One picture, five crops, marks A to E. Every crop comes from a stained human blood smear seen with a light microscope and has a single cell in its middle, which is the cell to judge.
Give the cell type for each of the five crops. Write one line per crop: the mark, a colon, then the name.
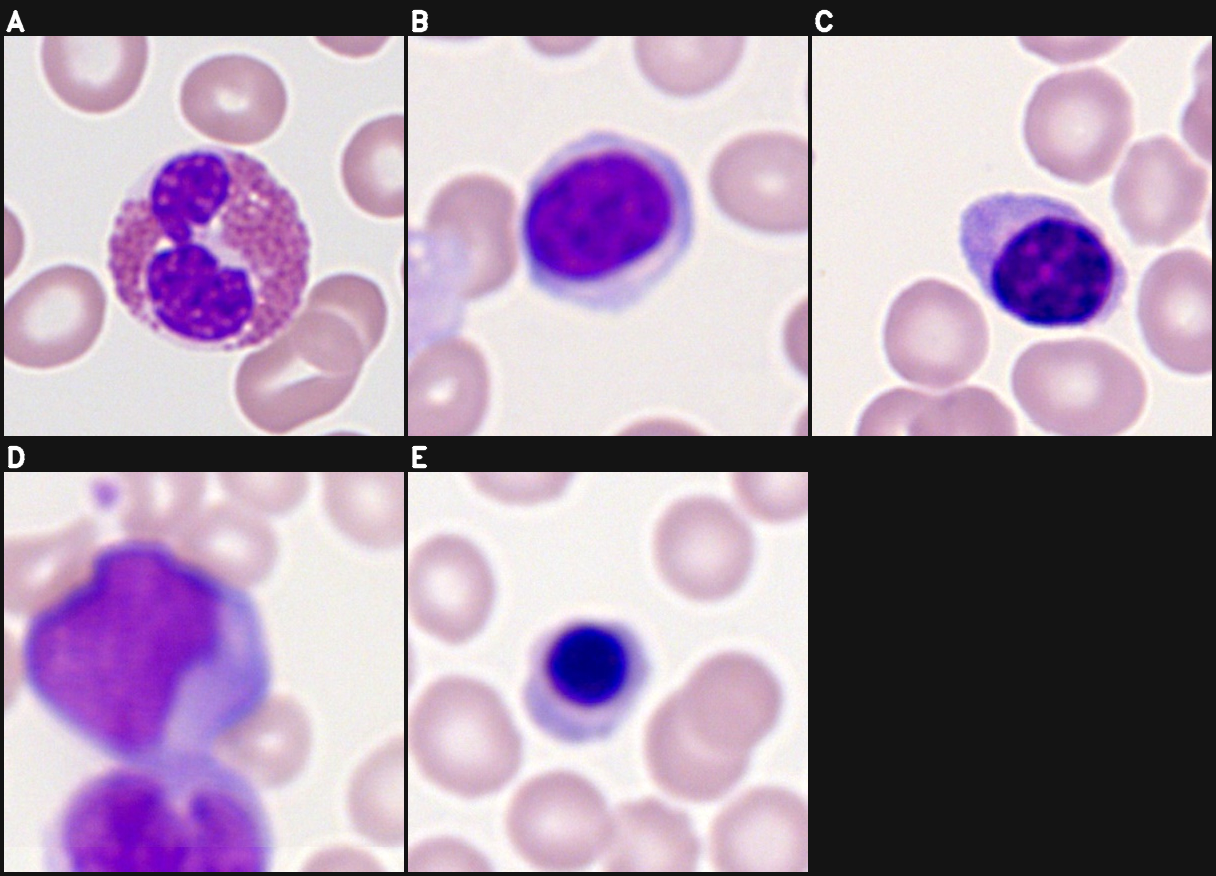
A: eosinophil
B: lymphocyte
C: erythroblast
D: myeloblast
E: erythroblast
